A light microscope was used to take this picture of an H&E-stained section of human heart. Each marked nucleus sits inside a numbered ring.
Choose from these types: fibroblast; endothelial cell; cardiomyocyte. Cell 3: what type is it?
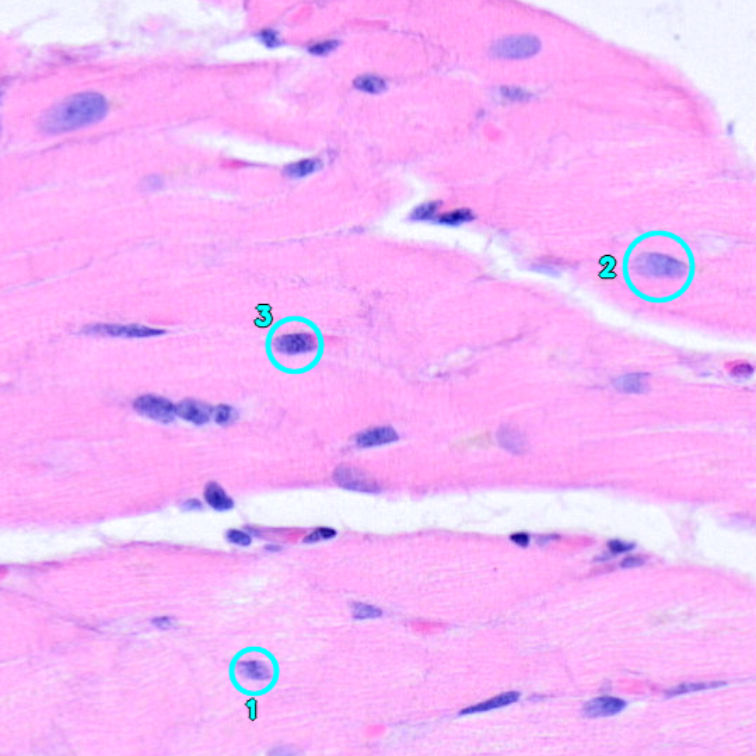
endothelial cell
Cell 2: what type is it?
cardiomyocyte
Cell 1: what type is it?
endothelial cell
